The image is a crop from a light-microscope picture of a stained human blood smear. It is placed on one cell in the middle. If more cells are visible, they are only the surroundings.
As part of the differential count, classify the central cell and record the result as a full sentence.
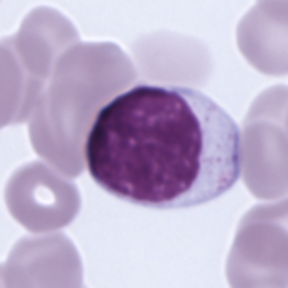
The cell featured at the centre of this crop is a large granular lymphocyte.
